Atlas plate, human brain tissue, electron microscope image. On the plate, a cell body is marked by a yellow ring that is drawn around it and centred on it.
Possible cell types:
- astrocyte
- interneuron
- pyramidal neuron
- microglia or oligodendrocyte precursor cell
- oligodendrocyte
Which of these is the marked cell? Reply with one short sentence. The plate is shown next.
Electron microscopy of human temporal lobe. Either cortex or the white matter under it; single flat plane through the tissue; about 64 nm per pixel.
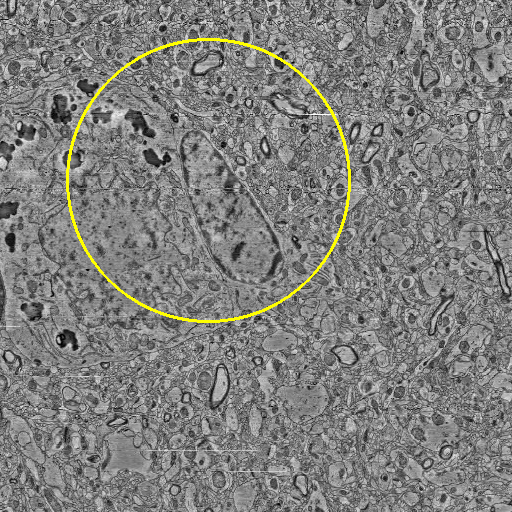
The marked cell is a microglial cell or oligodendrocyte precursor cell.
